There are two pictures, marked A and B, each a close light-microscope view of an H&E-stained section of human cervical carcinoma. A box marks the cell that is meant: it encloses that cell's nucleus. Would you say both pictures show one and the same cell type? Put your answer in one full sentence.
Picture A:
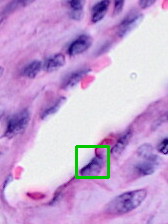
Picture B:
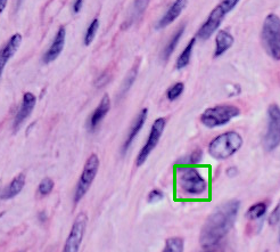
Yes, both cells are endothelial cells.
